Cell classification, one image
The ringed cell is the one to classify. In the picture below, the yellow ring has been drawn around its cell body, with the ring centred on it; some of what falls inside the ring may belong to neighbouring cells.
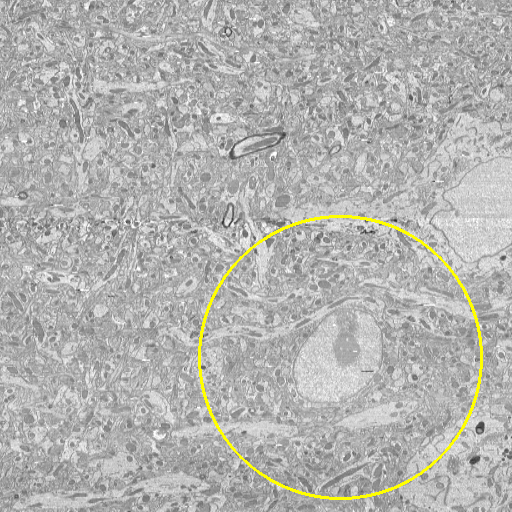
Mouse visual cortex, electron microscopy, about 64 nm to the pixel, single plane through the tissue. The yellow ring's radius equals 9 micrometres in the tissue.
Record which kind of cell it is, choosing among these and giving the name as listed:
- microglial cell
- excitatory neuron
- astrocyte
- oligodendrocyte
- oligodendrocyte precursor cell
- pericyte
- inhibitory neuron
astrocyte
